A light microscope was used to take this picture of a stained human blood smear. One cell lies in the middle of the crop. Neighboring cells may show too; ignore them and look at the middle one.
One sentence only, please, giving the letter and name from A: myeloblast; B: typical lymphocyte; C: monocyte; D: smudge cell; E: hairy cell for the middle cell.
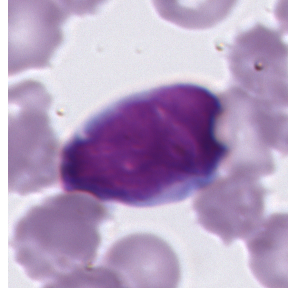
At the centre of the crop lies a myeloblast, which makes option A correct.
